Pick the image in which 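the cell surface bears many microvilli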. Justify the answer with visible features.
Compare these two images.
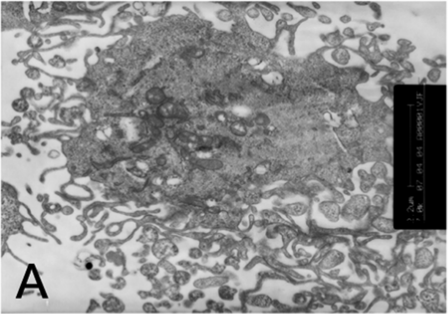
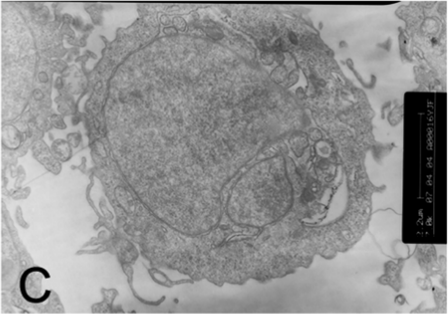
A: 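Second image: the rounded cell has a fairly smooth outline with only a few short surface projections. First image: the cell is surrounded by a dense fringe of slender surface projections.
Answer: the first image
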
